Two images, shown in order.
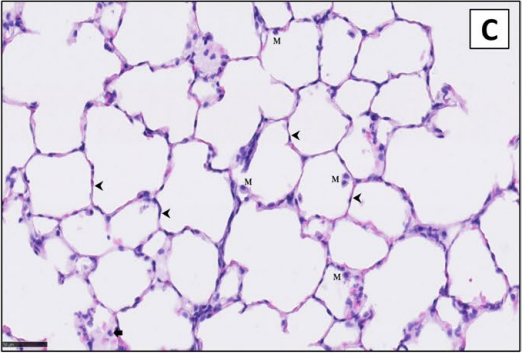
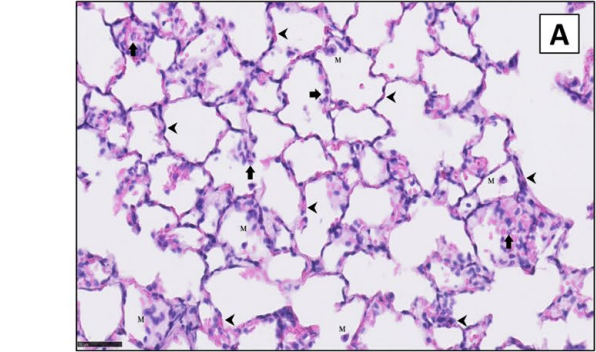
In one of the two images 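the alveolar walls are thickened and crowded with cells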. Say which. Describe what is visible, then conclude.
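The second image. First image: the walls between air spaces are thin, delicate lines with few nuclei. Second image: many walls are widened, with dense nuclei and pink material filling parts of air spaces.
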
